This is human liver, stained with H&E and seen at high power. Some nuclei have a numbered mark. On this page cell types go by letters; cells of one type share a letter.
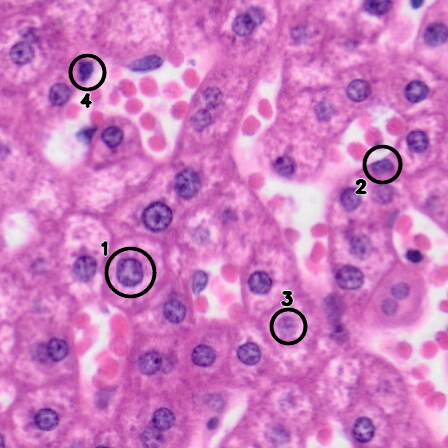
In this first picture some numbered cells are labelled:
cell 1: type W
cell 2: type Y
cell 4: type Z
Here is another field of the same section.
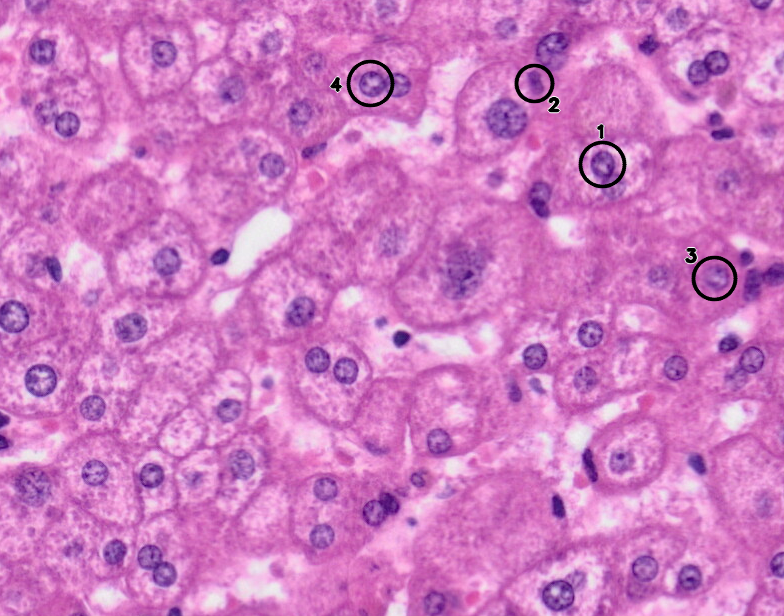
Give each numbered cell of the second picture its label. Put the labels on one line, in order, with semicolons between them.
type W; type Y; type W; type W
